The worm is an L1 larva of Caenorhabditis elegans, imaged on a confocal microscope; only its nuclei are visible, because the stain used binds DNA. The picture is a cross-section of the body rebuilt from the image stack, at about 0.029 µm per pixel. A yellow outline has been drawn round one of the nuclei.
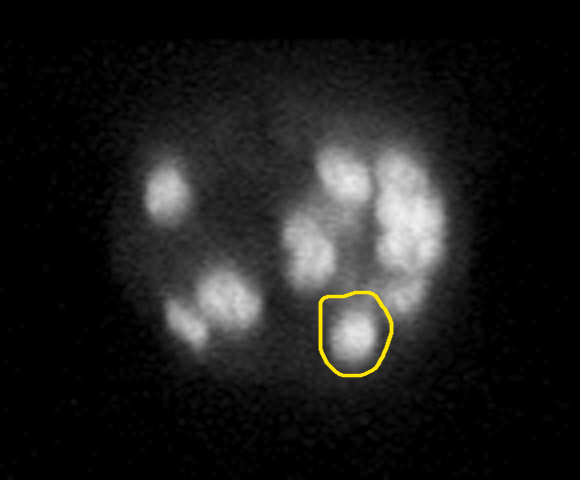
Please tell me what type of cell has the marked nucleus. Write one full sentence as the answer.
This is the nucleus of a neuron.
